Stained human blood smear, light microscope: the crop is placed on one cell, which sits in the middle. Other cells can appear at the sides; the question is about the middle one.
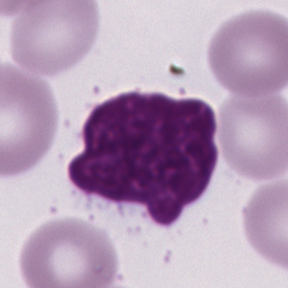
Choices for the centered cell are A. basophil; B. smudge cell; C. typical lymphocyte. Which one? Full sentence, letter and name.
That the central cell is a smudge cell makes option B correct.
